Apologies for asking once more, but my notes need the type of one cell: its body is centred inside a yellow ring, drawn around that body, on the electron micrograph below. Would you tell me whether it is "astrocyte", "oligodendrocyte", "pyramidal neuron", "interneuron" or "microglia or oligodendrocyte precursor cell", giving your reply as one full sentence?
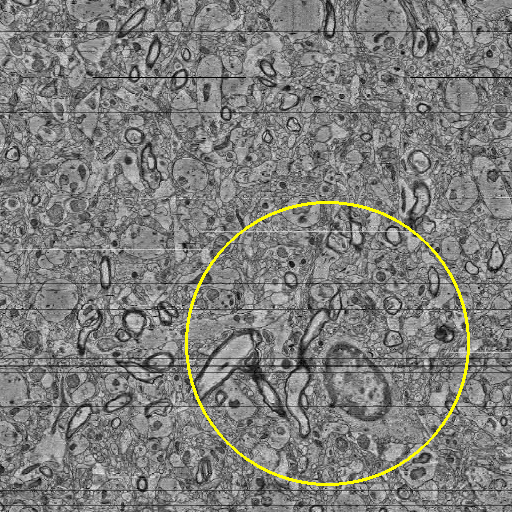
The cell that the yellow ring is centred on is an oligodendrocyte in this micrograph.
